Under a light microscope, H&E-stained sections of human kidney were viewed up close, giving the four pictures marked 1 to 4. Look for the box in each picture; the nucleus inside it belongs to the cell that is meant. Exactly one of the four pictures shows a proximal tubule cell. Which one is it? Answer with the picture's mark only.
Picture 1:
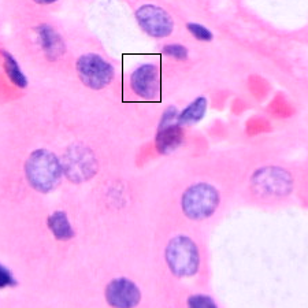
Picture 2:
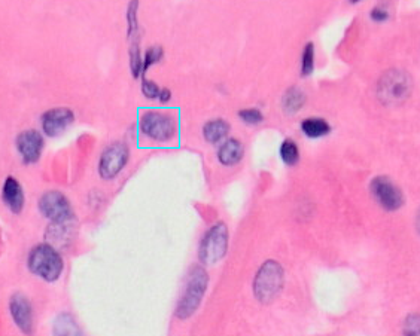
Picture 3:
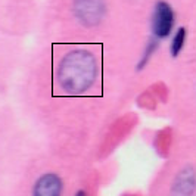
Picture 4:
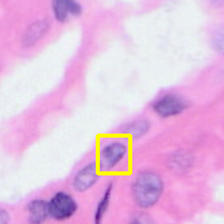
3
